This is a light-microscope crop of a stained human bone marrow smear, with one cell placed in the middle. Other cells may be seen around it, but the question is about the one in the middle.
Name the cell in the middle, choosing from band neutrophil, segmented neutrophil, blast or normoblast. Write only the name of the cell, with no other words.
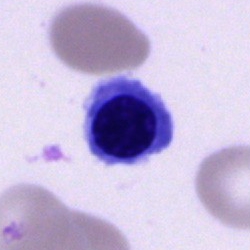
normoblast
